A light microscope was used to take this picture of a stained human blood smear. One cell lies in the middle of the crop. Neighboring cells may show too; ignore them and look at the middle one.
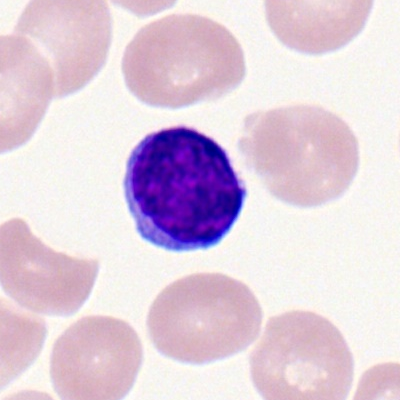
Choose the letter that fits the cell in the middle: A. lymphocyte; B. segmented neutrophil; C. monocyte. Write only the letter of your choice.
A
